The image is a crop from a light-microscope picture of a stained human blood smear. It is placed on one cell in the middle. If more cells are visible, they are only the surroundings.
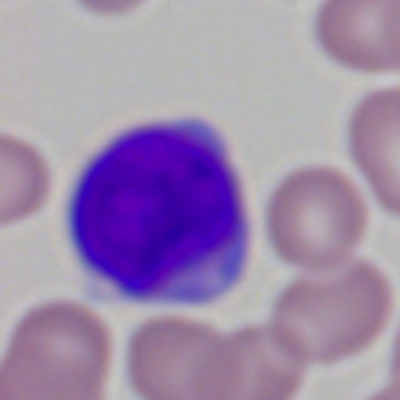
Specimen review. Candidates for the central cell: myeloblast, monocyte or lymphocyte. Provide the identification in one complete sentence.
In the crop, the cell of interest at the centre is a myeloblast.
